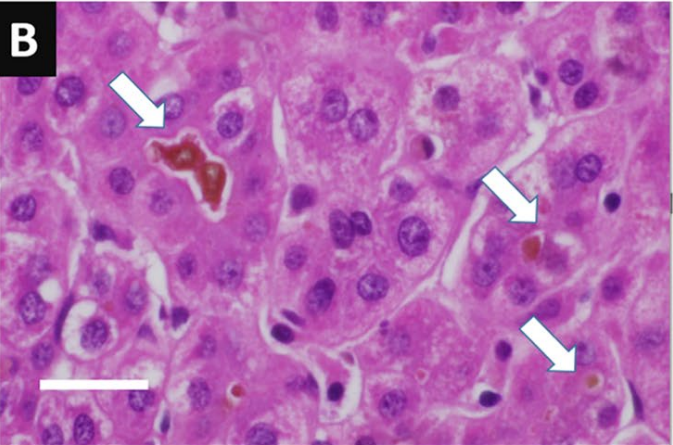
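This is liver parenchyma at high magnification showing hepatocytes with canalicular cholestasis. Large polygonal hepatocytes have abundant pink, somewhat granular or cleared cytoplasm and round nuclei with fine chromatin and small nucleoli; some cells have two nuclei. Between neighbouring hepatocytes, small channels contain brown to orange-red bile plugs, the largest elongated and branched, others small and round. Thin sinusoidal spaces with flattened dark nuclei separate groups of hepatocytes.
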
